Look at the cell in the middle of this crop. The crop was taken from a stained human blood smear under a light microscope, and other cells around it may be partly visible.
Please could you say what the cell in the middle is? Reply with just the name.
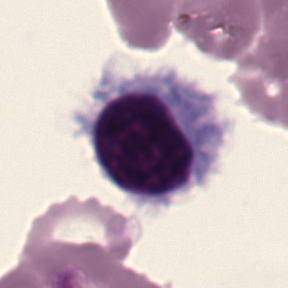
hairy cell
